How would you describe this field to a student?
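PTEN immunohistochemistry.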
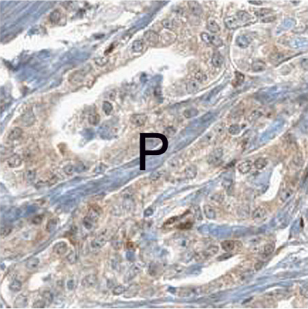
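Small tumor glands of cuboidal to columnar cells surround narrow open lumina. Bands of pale blue fibrous stroma with elongated nuclei run between the glands. A few stromal cells are stained a darker brown.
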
